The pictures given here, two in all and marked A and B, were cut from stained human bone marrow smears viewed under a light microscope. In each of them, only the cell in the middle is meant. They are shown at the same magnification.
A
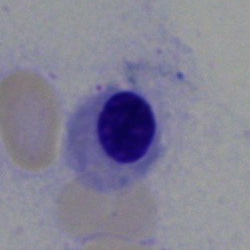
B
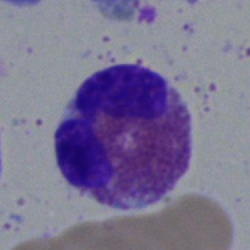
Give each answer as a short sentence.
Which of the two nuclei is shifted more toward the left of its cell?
It is the nucleus in crop B that lies further toward the left of its cell.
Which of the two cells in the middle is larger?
Larger is the cell in crop B, at roughly 2 times the area of the other.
